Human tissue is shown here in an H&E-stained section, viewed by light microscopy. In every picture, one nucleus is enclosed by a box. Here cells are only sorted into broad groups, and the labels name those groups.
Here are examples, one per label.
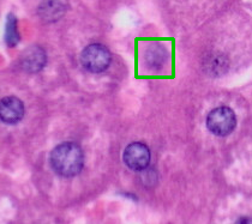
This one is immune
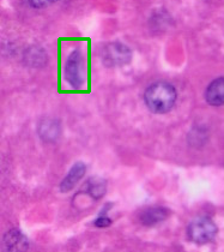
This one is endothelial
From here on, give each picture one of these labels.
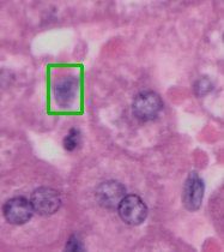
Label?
endothelial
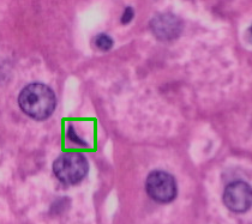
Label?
endothelial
